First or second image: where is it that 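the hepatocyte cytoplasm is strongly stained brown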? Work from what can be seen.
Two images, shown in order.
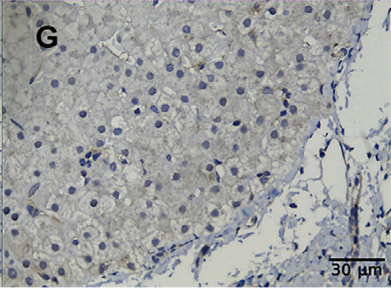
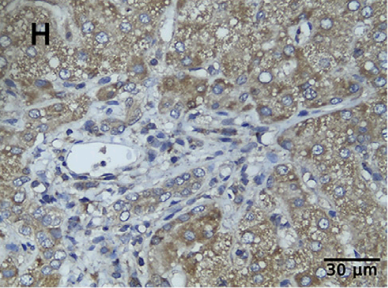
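Second image: hepatocyte cytoplasm is distinctly brown and granular. First image: hepatocytes are pale grey with only faint brownish tint.
The second image.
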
